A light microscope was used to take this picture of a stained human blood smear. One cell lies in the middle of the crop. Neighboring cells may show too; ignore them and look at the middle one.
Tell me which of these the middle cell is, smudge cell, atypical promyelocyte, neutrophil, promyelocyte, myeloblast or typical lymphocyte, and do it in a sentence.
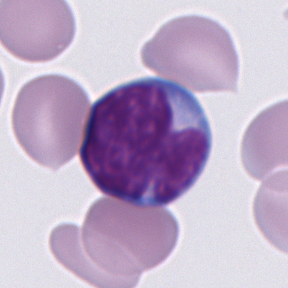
The single cell at the center of the crop is a typical lymphocyte.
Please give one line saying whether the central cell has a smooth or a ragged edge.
Smooth all around, the outline has no projections to report.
